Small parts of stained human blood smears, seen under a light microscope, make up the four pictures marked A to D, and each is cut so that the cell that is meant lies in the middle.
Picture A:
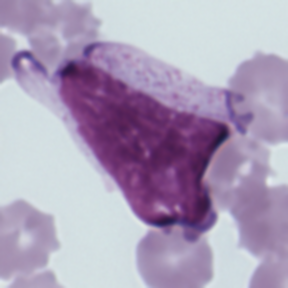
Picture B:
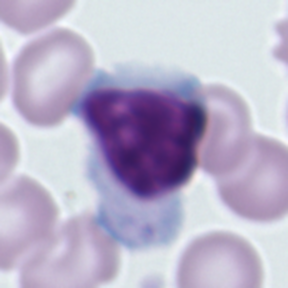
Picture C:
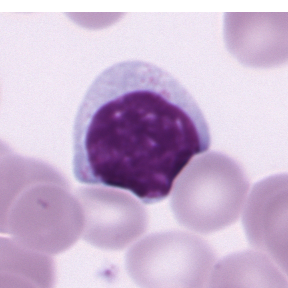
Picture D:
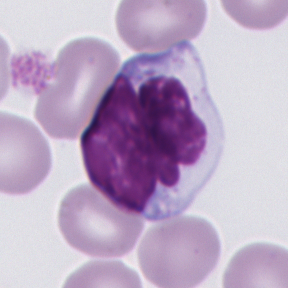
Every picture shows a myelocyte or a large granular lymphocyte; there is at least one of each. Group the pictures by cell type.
A: myelocyte
B: large granular lymphocyte
C: large granular lymphocyte
D: large granular lymphocyte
